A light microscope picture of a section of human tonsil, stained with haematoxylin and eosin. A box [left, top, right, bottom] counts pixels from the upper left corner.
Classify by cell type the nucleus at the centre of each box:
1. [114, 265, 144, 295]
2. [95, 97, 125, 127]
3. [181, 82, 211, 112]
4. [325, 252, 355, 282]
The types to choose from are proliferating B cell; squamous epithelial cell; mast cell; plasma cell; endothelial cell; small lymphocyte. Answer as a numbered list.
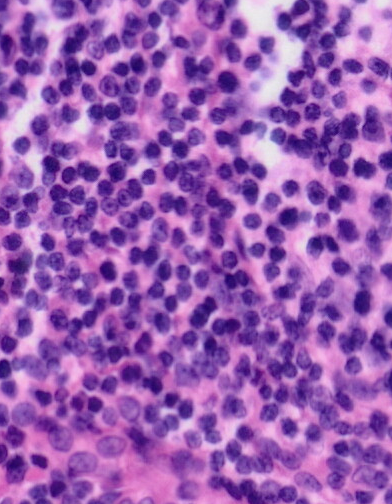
1. small lymphocyte
2. small lymphocyte
3. small lymphocyte
4. proliferating B cell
